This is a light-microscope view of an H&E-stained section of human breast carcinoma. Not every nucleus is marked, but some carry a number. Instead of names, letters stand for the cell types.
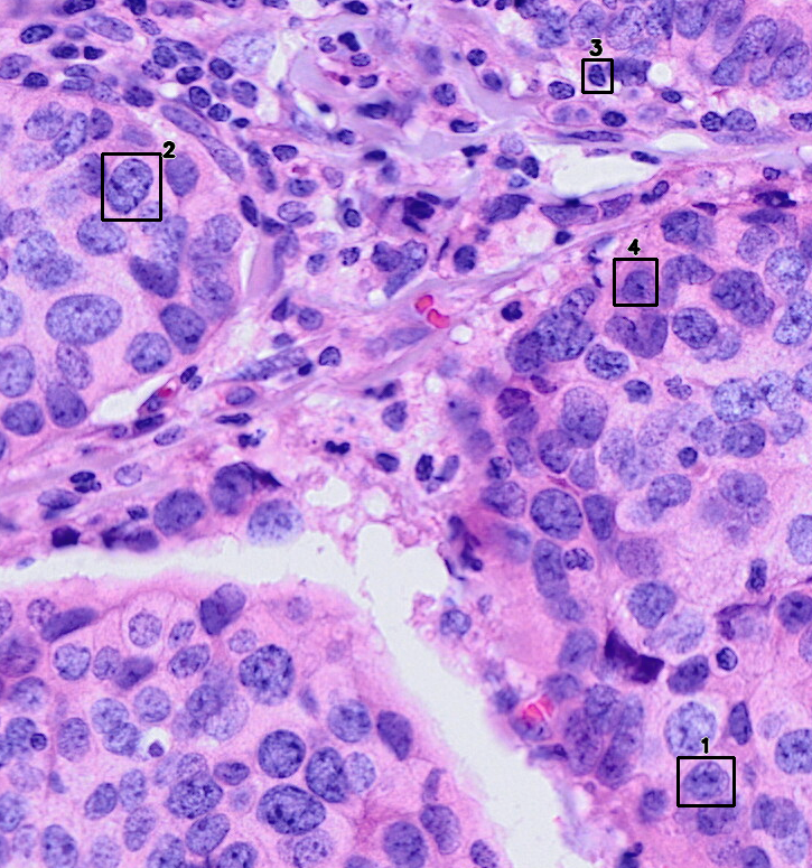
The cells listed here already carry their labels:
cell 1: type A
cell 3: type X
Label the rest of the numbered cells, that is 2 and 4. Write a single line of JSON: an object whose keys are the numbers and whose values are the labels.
{"2": "type A", "4": "type A"}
